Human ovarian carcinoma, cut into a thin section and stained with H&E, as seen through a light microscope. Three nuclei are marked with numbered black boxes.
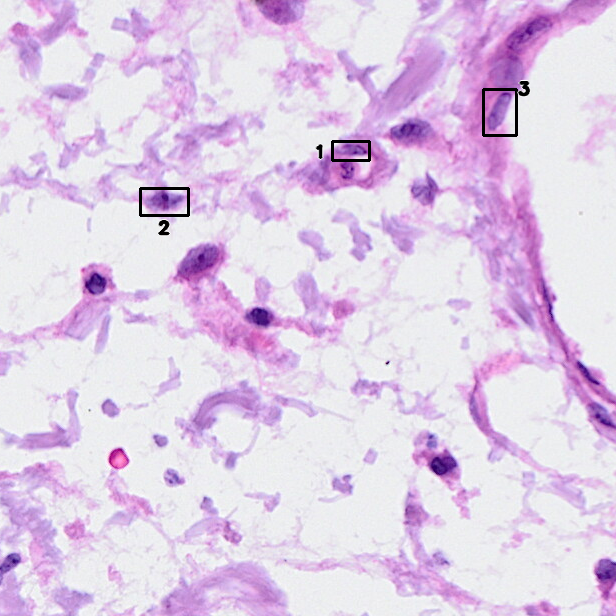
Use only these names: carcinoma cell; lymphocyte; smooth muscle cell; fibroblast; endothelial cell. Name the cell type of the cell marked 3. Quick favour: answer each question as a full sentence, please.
Cell 3 in the field of view is an endothelial cell.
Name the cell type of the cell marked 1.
The marked nucleus 1 is that of an endothelial cell.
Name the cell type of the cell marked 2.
The cell identified by the number 2 is a fibroblast.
